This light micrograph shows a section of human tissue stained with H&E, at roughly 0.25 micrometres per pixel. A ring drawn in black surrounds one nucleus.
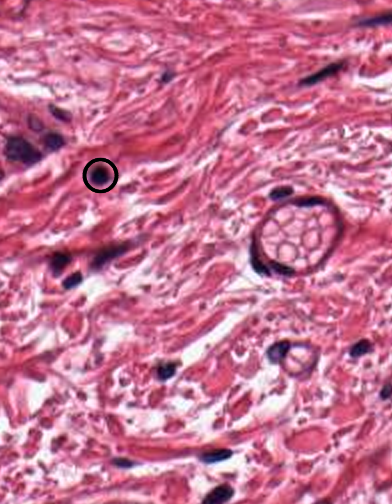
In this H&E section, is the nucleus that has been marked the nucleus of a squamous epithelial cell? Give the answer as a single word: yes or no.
no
